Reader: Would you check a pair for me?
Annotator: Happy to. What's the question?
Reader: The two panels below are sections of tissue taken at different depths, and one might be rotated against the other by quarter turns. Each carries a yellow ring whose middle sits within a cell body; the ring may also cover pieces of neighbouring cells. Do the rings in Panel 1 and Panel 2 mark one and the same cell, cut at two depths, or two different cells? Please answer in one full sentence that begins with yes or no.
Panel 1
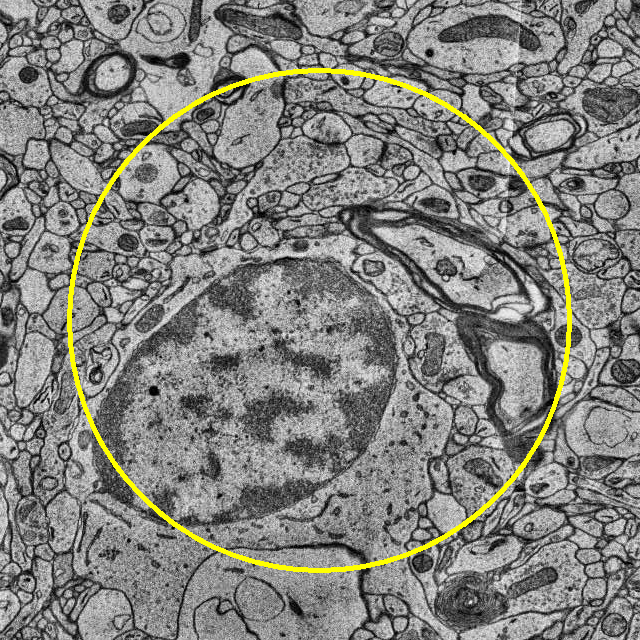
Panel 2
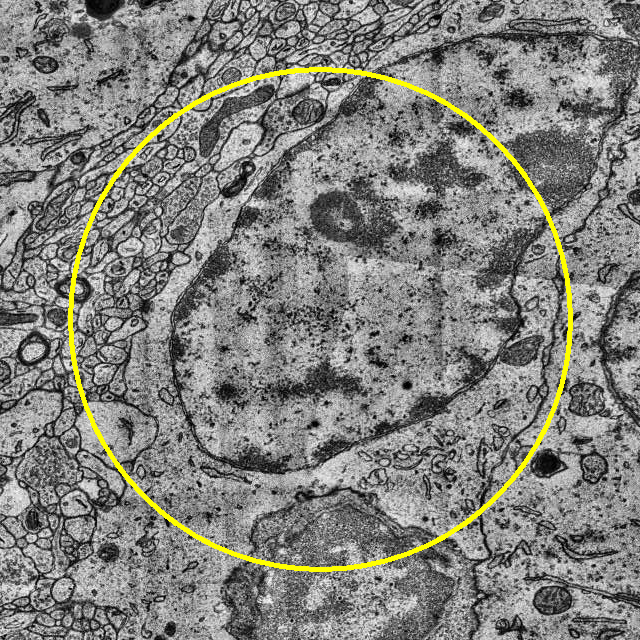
No, the rings single out two cells that are separate from each other.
